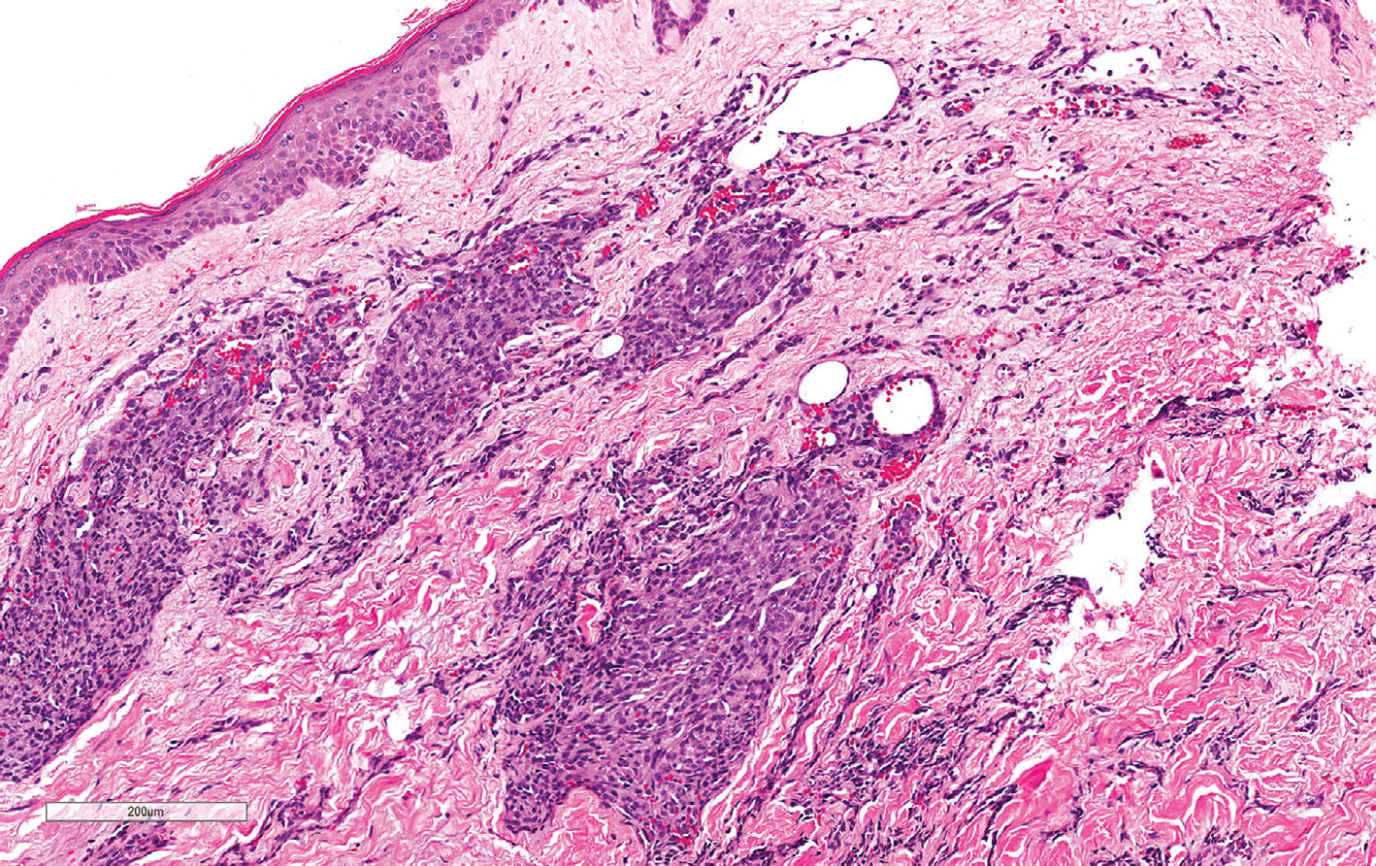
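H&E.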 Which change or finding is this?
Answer: Extravasated erythrocytes.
